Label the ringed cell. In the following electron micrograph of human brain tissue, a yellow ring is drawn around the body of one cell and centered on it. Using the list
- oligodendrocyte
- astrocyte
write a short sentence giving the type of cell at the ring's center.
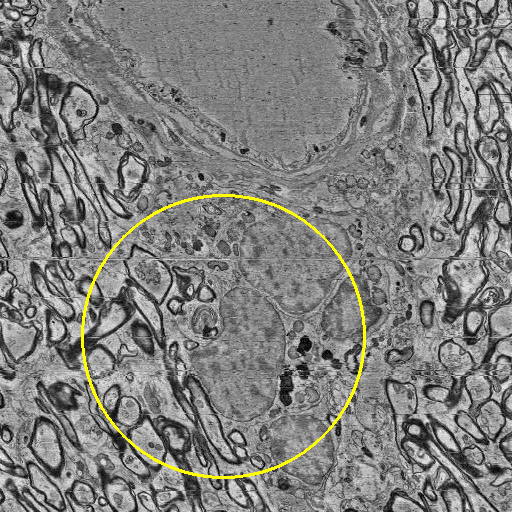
The cell body at the ring's center is that of an oligodendrocyte.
